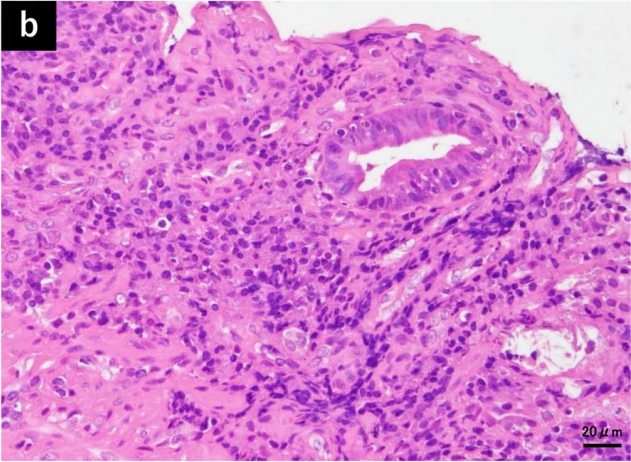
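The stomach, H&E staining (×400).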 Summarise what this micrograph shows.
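This is gastric mucosa with a gland lined by columnar epithelial cells, surrounded by a lamina propria densely filled with inflammatory cells. Between the glands, the stroma is crowded with small cells with round, dark purple nuclei and scant cytoplasm, mixed with some cells having more pink cytoplasm. Pink strands of stroma run among these cells, and the surface at the top is irregular. Few glands are present in the field, giving an impression of reduced glandular tissue.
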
